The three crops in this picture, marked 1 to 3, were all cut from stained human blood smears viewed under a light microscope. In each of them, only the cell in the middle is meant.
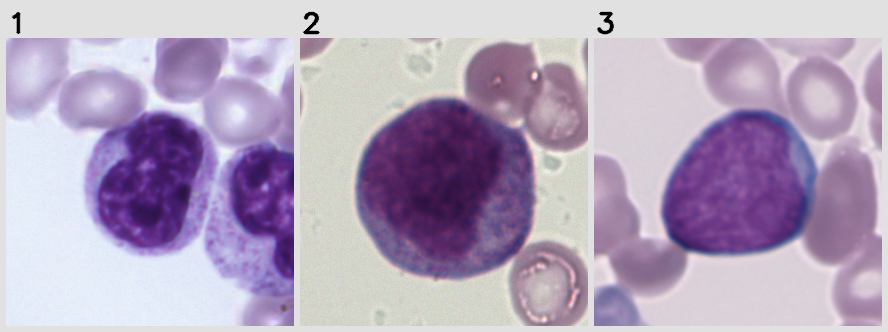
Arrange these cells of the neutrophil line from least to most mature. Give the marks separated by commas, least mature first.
3, 2, 1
